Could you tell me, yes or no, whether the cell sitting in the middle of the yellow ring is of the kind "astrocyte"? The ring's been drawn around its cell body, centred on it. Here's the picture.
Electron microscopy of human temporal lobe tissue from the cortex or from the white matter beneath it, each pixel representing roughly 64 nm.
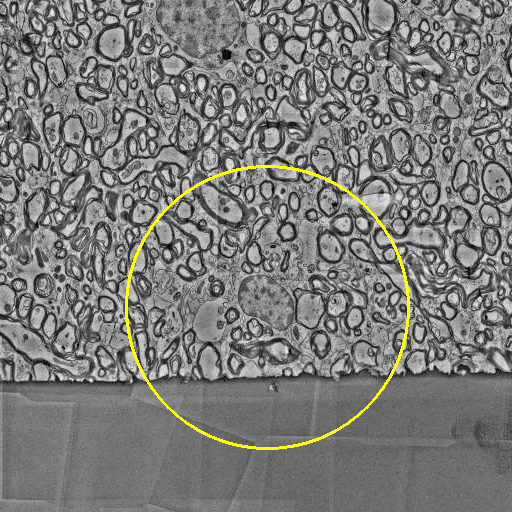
No, it is of another kind.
